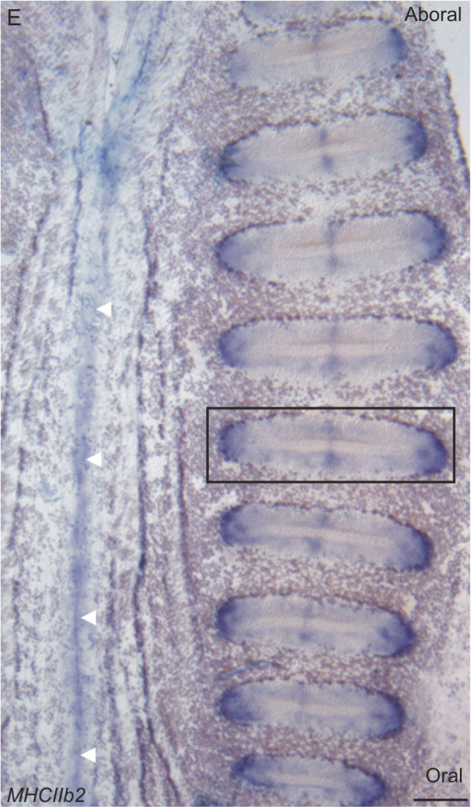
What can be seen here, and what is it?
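A comb row is seen as a vertical stack of elongated oval combs, each finely striated across its length, with purple staining strongest at both rounded ends and in small spots along the midline. Between and beside the combs lies a granular epithelium of many small cells, and further to the left a faint purple line of cells runs vertically through paler tissue.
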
